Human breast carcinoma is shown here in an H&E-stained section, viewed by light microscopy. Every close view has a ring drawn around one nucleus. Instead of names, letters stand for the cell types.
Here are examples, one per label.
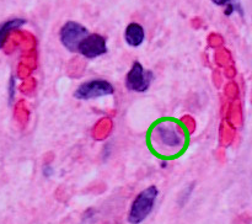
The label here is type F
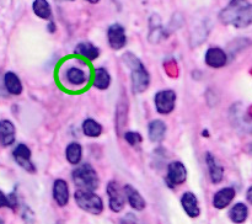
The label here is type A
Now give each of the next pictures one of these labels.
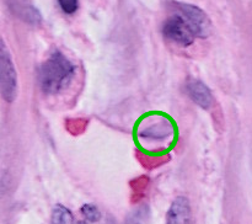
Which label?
type F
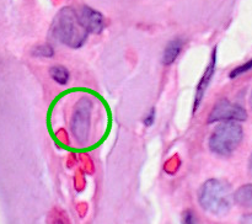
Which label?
type F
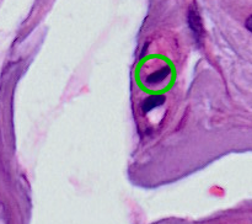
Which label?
type F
